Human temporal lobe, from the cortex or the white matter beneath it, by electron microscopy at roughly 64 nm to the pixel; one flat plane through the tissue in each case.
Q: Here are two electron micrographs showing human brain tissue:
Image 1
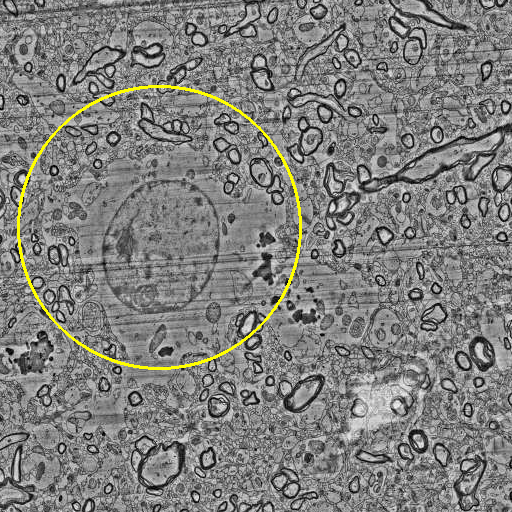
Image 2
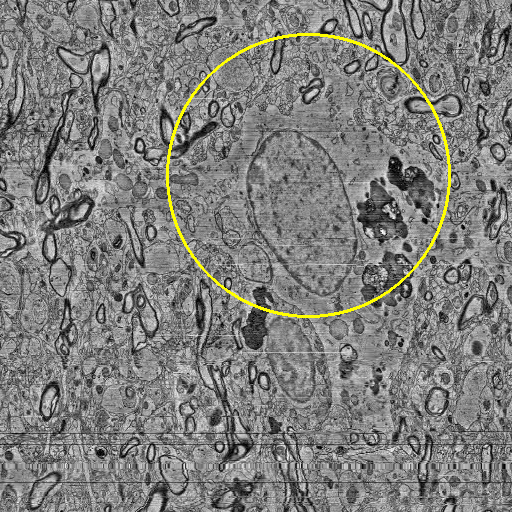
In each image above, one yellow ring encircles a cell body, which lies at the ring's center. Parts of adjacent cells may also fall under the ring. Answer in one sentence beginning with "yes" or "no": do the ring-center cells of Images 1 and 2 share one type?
Yes, in Images 1 and 2, the ring-center cells are both of one type.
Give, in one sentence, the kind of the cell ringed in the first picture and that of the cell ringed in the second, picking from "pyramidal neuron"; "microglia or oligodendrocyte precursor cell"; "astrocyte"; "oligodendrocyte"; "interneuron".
In the first picture and in the second, the ring is centred on an astrocyte.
